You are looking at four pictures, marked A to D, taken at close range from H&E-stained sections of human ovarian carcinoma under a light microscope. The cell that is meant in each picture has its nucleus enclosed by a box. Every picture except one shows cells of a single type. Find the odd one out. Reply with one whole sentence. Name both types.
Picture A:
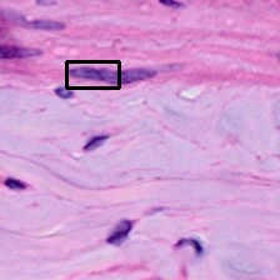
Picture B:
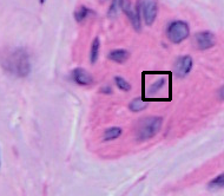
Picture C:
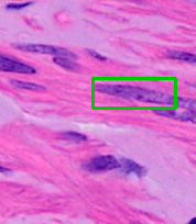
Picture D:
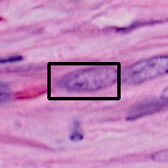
The others show smooth muscle cells, but picture D shows an endothelial cell.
